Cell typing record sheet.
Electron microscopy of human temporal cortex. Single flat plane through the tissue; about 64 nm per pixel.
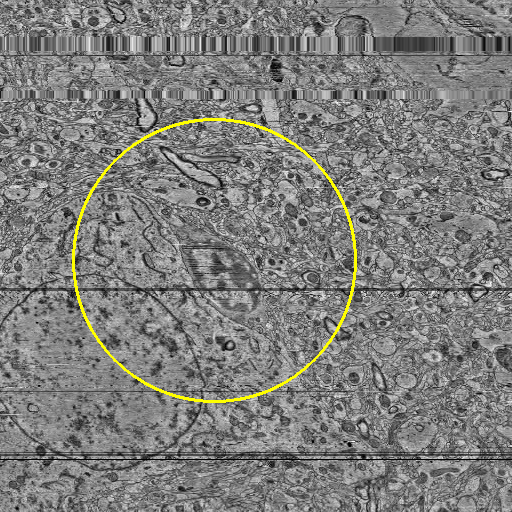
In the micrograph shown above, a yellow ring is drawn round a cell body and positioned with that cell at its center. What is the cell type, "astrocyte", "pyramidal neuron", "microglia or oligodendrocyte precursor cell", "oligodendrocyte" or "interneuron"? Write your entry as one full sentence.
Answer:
The cell body at the center of the ring belongs to an oligodendrocyte.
